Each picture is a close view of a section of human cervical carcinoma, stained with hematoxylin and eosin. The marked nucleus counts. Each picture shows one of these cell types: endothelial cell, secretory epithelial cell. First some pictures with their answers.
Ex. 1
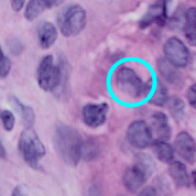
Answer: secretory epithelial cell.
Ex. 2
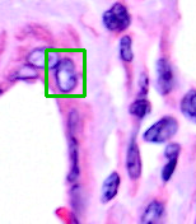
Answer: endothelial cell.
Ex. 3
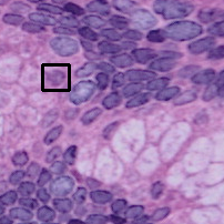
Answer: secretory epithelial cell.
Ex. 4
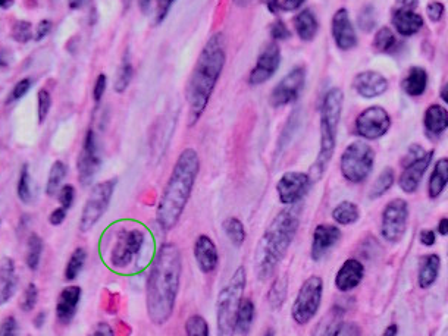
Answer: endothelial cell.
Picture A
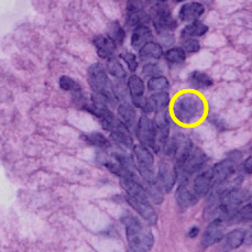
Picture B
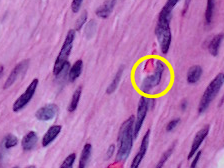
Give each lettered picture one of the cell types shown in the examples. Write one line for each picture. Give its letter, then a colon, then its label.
A: secretory epithelial cell.
B: endothelial cell.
